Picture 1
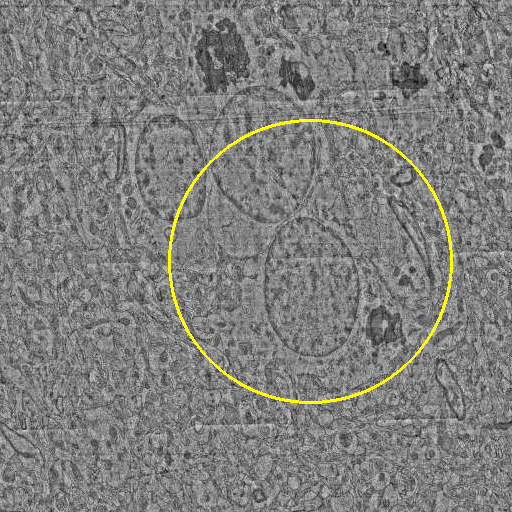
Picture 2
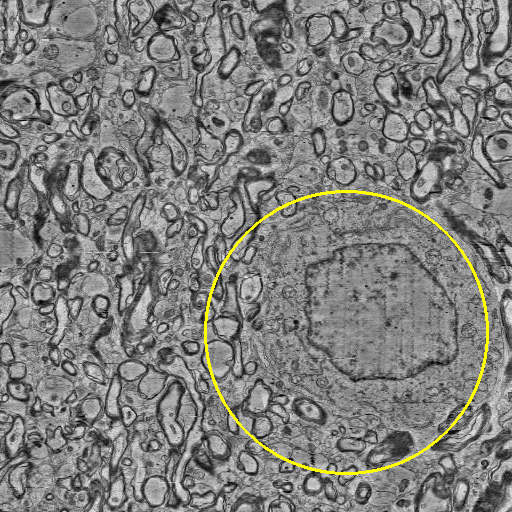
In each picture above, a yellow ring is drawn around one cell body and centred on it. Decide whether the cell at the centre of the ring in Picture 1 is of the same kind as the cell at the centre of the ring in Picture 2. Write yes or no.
no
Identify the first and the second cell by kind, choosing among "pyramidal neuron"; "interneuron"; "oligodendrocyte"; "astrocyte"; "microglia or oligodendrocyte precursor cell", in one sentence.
The one in the first picture is an astrocyte, while the one in the second is a pyramidal neuron.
